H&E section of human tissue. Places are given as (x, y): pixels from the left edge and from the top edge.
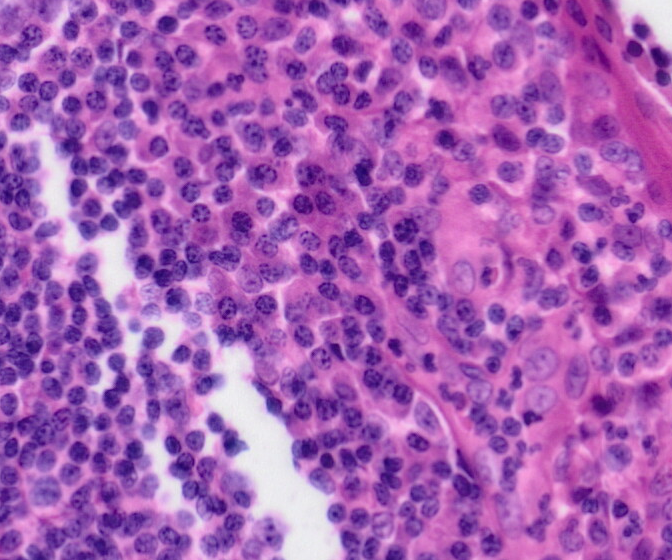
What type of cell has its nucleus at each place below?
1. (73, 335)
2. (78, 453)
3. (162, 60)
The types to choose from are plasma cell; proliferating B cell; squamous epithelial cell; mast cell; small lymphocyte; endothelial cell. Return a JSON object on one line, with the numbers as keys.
{"1": "small lymphocyte", "2": "small lymphocyte", "3": "plasma cell"}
